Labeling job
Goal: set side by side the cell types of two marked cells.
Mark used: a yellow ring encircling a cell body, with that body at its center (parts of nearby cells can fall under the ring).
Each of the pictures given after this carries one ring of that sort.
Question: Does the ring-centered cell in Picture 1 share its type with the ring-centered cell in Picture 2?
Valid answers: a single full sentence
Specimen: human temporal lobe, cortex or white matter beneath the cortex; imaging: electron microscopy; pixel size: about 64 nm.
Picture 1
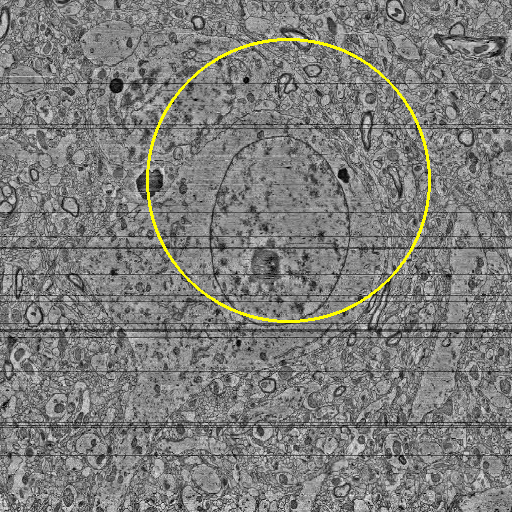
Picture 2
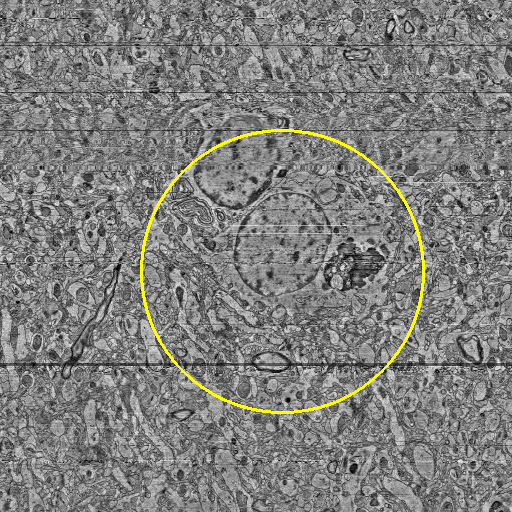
No, in Pictures 1 and 2 the cells at the ring centers have separate types.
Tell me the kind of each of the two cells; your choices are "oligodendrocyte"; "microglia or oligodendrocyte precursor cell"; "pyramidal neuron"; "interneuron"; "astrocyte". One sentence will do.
The ringed cell is a pyramidal neuron in the first picture and an astrocyte in the second picture.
